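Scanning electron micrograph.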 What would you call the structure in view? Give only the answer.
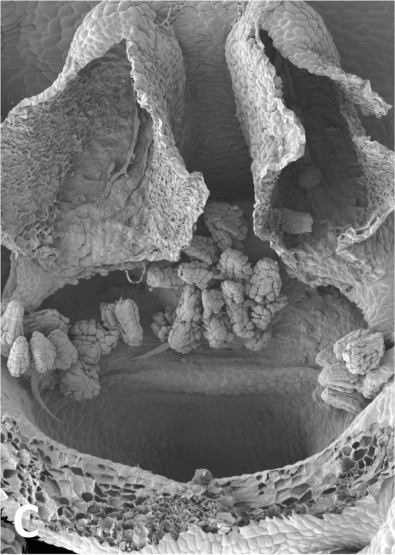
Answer: Massulae.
